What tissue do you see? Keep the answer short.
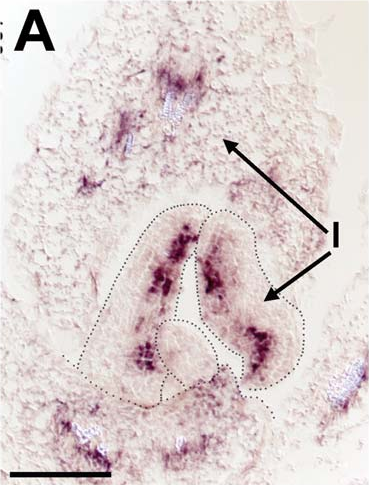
Apical shoot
